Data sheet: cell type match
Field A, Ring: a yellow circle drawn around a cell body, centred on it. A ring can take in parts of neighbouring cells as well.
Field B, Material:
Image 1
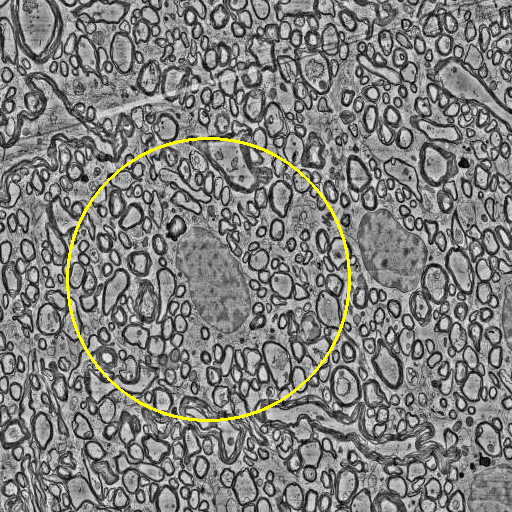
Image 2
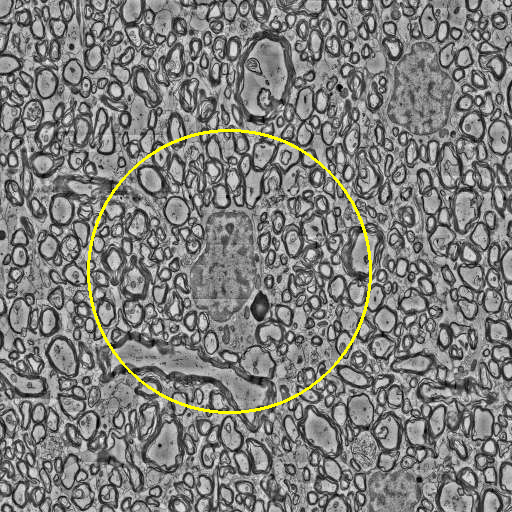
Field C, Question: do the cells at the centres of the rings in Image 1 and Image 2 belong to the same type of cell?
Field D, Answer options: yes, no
yes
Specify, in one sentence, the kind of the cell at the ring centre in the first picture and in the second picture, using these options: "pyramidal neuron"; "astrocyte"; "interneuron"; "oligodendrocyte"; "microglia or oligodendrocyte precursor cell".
Each of the two pictures has an oligodendrocyte at the ring centre.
